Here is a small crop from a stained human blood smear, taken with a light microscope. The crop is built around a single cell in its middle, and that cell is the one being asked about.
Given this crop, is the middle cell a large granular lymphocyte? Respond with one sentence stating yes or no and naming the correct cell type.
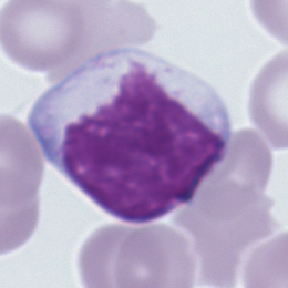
Yes, the cell in the middle is recognised as a large granular lymphocyte.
